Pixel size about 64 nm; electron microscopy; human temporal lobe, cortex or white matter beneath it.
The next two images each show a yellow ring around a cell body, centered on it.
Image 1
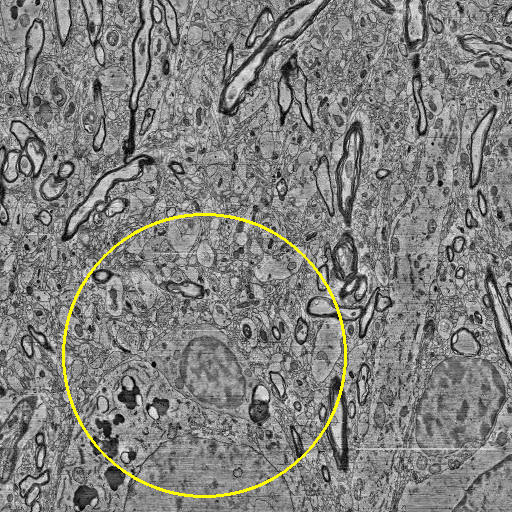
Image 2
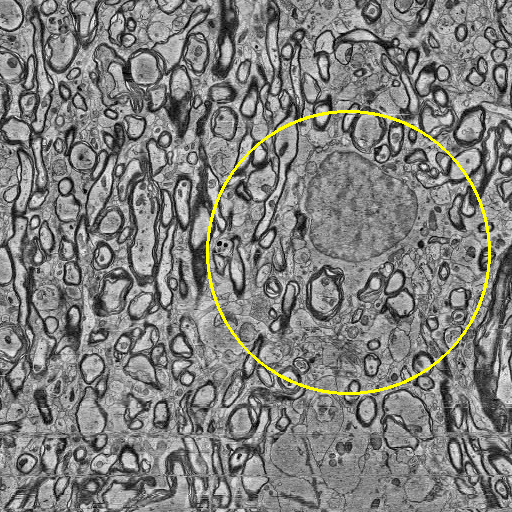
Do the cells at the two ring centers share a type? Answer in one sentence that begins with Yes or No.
Yes, across the two images the cells at the ring centers share one type.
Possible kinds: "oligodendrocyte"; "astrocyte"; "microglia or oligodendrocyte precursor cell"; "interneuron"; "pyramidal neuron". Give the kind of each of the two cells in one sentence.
Each one of the two ringed cells is an oligodendrocyte.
